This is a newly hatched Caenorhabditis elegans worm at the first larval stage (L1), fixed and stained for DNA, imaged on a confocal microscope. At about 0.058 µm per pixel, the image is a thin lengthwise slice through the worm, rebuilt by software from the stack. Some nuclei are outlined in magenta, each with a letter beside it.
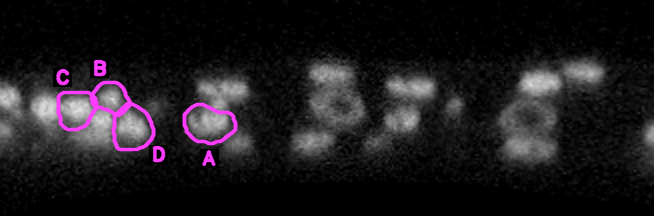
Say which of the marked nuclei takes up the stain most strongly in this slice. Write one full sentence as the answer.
C is the most strongly stained.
